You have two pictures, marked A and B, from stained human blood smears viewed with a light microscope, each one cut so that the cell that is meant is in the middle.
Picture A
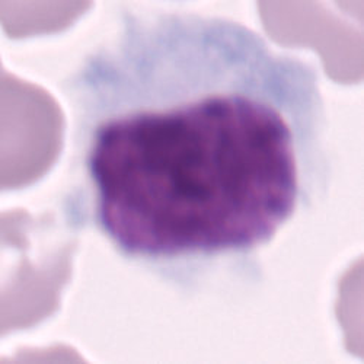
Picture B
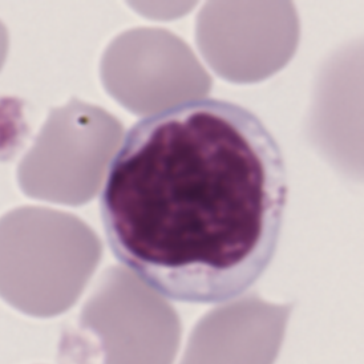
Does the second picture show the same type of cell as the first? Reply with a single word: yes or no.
no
